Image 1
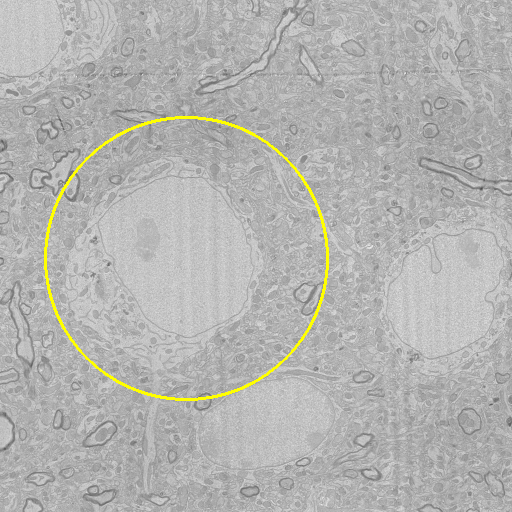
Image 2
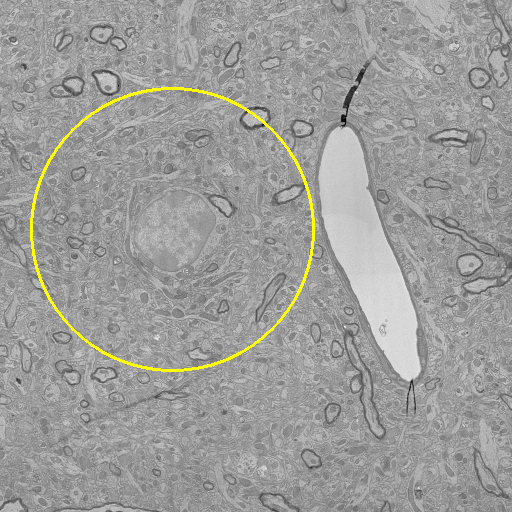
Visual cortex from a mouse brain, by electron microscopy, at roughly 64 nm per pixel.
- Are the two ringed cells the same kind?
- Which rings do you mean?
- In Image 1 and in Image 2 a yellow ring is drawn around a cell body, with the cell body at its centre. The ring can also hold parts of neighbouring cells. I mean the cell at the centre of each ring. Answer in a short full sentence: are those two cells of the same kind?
No, the cells are of two kinds.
